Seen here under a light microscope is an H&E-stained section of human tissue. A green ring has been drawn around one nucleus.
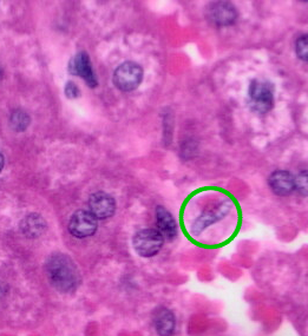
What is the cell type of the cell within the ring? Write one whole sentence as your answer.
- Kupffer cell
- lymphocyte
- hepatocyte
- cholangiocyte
The identity of the cell within the ring is that of a Kupffer cell.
